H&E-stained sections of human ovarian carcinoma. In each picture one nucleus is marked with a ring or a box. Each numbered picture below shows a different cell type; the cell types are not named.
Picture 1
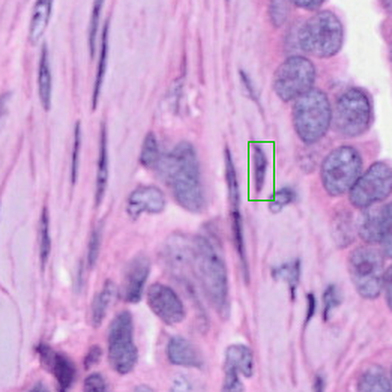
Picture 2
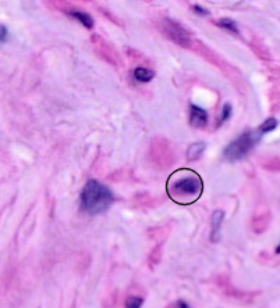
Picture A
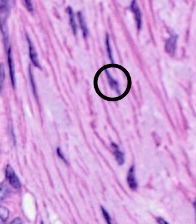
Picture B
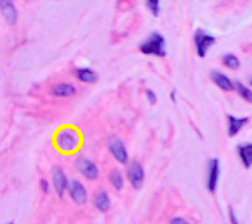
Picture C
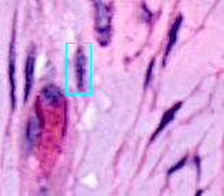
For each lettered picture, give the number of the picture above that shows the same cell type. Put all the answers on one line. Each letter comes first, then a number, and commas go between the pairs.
A 1, B 2, C 1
